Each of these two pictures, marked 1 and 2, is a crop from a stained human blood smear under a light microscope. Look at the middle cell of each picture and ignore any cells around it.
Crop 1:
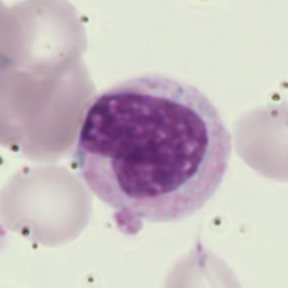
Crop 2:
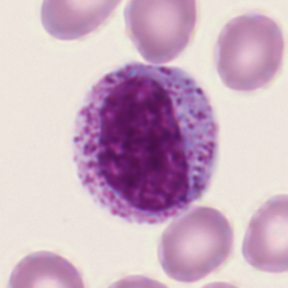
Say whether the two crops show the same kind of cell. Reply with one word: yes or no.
yes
